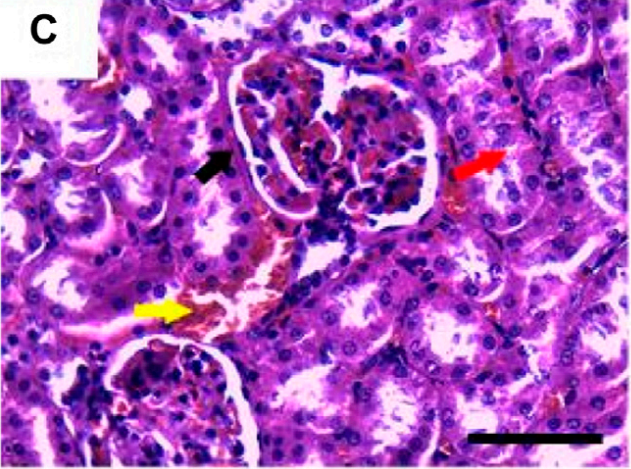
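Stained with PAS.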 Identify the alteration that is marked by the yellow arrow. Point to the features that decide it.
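Intertubular congestion. The arrow points to a band of red-orange material packed in the space between tubules. The red material lies outside the tubule walls, next to a glomerulus.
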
